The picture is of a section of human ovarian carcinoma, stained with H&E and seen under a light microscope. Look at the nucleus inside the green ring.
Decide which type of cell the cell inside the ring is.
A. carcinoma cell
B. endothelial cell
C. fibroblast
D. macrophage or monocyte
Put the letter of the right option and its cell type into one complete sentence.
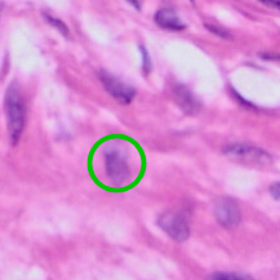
The correct pick is option C; the cell inside the ring is a fibroblast.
